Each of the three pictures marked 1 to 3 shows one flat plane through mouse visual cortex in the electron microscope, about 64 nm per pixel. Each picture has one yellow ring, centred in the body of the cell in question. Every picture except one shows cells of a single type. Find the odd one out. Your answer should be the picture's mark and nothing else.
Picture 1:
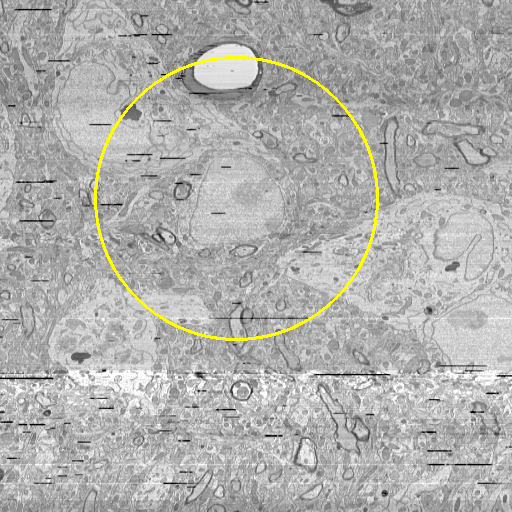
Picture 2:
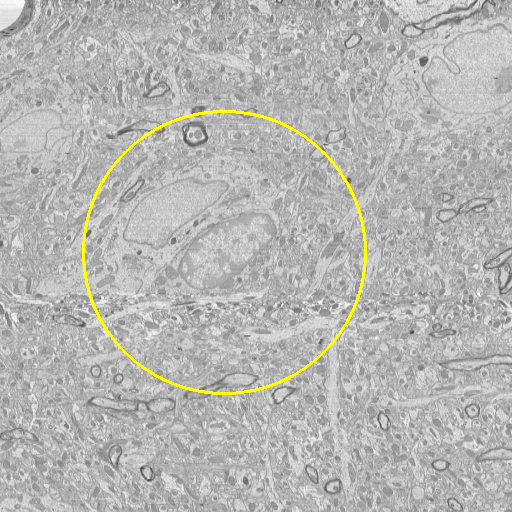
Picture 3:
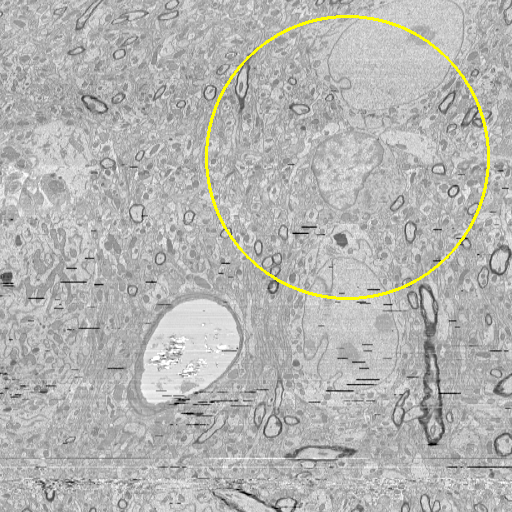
1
